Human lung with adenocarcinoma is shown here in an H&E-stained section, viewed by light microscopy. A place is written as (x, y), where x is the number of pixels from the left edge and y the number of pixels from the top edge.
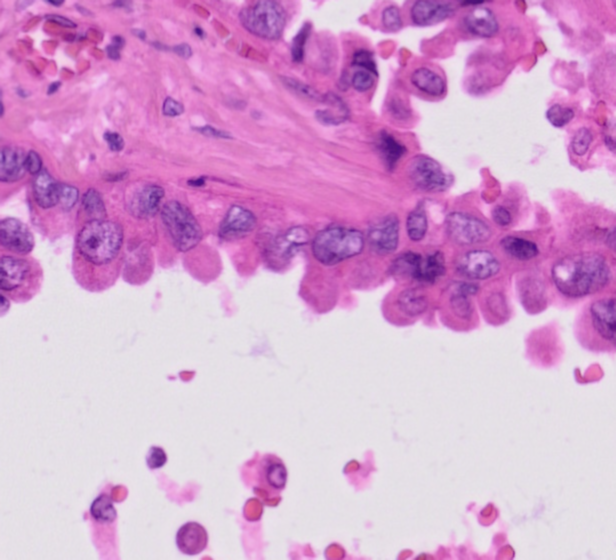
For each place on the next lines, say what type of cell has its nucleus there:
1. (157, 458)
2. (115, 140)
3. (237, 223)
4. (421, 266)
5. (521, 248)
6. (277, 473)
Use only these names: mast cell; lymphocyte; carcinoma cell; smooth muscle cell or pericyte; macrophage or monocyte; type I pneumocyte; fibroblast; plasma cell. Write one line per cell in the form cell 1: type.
cell 1: lymphocyte
cell 2: lymphocyte
cell 3: carcinoma cell
cell 4: carcinoma cell
cell 5: carcinoma cell
cell 6: macrophage or monocyte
